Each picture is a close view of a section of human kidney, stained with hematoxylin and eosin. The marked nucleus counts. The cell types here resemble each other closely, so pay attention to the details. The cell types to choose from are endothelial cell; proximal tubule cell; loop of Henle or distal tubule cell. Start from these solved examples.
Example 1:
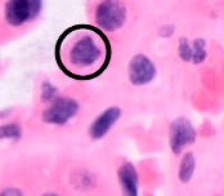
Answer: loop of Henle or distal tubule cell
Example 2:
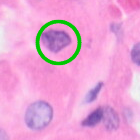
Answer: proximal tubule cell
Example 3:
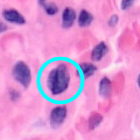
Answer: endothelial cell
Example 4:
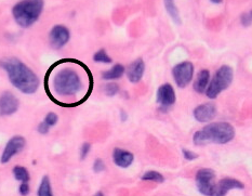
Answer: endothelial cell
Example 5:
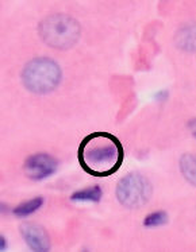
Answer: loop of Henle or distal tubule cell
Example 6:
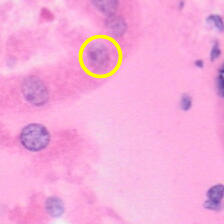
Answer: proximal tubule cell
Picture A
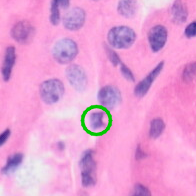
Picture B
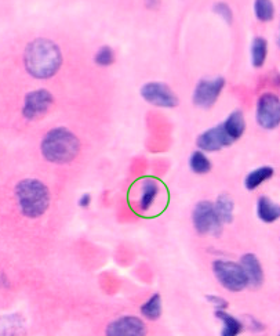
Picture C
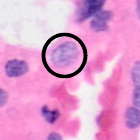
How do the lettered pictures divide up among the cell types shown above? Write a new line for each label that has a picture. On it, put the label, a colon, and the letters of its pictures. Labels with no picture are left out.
endothelial cell: B
loop of Henle or distal tubule cell: A, C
